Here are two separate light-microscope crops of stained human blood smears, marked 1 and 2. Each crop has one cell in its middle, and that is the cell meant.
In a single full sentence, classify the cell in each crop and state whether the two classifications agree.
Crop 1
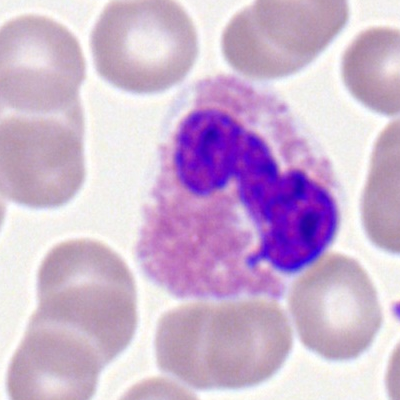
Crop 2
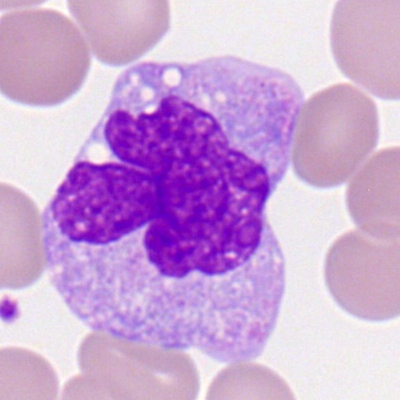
No, crop 1 shows an eosinophil and crop 2 a monocyte.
